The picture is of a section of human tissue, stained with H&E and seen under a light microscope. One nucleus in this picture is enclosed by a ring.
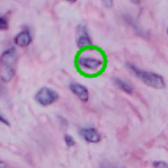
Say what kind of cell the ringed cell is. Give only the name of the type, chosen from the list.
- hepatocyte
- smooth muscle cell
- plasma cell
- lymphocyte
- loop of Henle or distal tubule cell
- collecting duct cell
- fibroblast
smooth muscle cell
